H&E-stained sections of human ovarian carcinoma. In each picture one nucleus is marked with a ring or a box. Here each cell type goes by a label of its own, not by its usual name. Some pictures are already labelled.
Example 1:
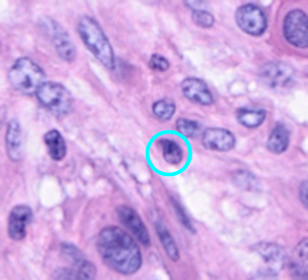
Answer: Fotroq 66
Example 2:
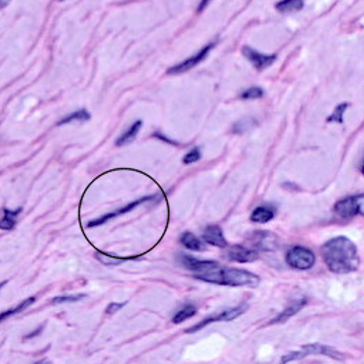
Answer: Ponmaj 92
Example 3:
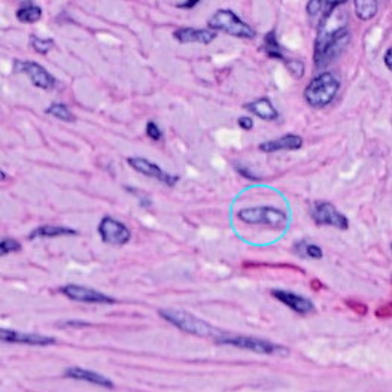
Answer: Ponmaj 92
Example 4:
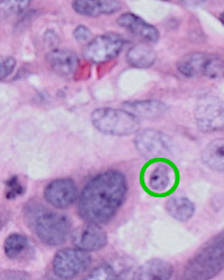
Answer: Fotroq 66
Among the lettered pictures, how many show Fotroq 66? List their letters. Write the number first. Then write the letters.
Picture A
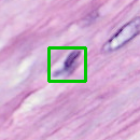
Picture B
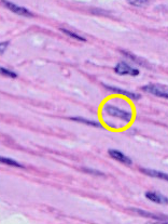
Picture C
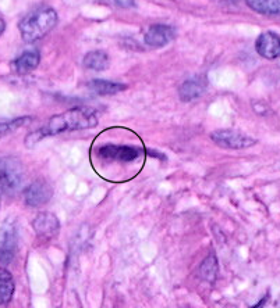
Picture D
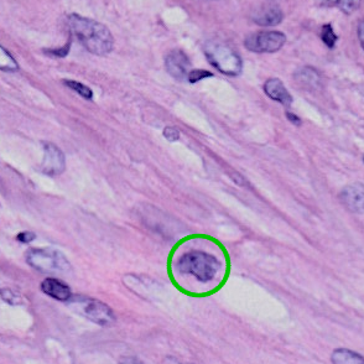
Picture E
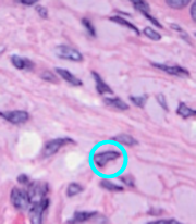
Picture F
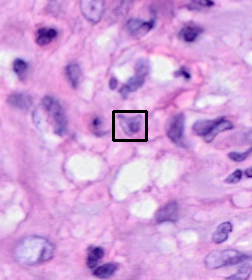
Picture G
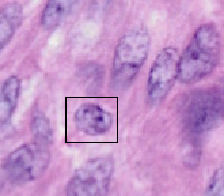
Count: 5 (A, C, D, F, G)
